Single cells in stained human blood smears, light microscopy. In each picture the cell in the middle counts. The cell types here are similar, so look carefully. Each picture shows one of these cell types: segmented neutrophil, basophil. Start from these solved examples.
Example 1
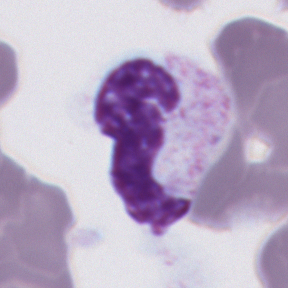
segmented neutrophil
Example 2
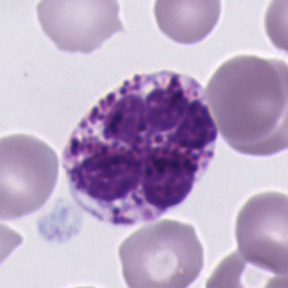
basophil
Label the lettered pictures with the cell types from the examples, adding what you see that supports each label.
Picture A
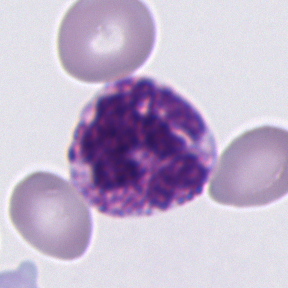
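basophil: Coarse dark purple granules are scattered over the whole cell, including over the nucleus.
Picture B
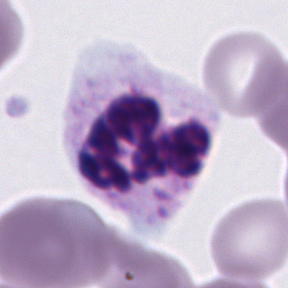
segmented neutrophil: Sparse fine purple granules are scattered through the cytoplasm.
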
